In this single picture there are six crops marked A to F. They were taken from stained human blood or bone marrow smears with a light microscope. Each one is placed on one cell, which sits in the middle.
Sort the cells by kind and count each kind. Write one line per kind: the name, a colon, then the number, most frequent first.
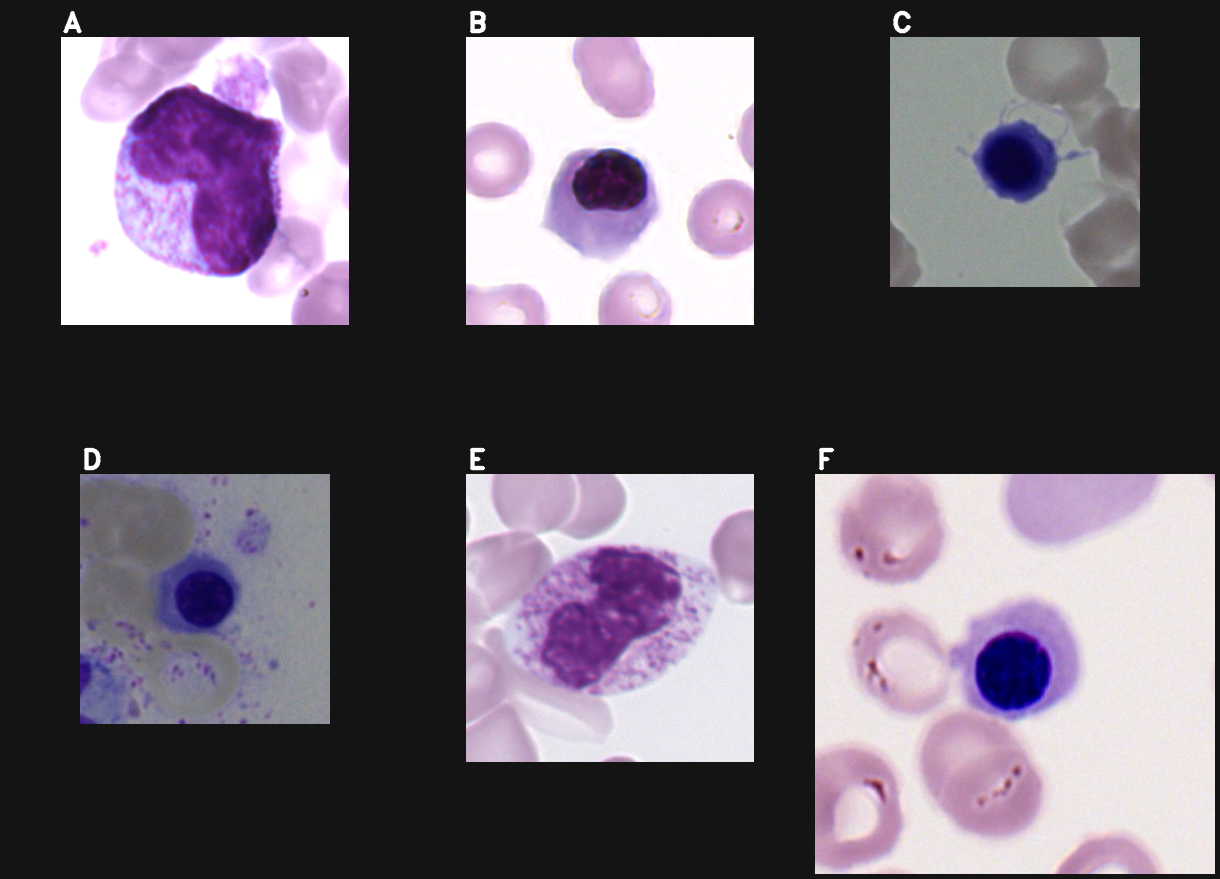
erythroblast: 4
band neutrophil: 2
